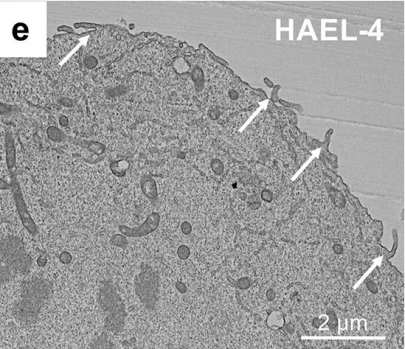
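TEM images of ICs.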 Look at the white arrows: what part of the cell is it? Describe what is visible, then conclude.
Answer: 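Thin finger-like projections extend from the free surface of the cell. The projections stand out into the empty space above the cell.
Answer: apical microvilli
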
